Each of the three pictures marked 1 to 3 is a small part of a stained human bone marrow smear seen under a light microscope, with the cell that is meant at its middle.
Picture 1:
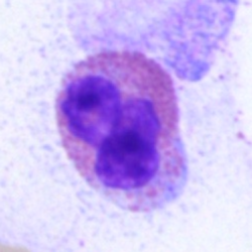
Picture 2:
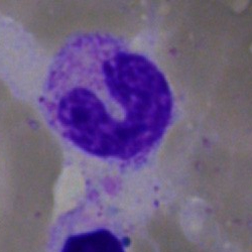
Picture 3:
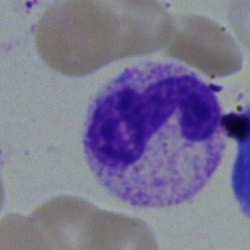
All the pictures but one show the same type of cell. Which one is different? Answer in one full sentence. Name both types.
Picture 1 is the odd one out: it shows an eosinophil, while the others show band neutrophils.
